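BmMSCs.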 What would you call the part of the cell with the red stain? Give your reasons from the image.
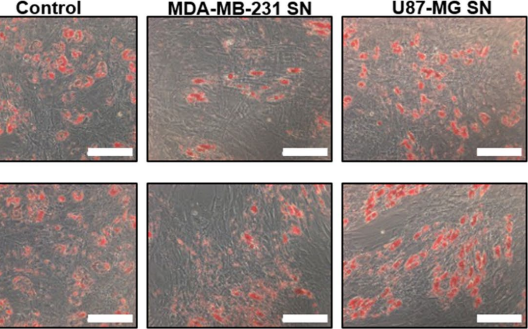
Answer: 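Clusters of red-stained droplets sit within individual cells. The red droplets are scattered among unstained, elongated spindle-shaped cells.
Hence: Lipid vesicles.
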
